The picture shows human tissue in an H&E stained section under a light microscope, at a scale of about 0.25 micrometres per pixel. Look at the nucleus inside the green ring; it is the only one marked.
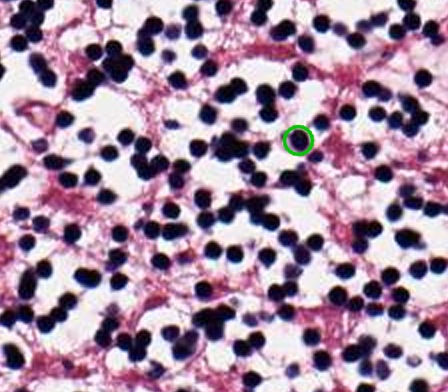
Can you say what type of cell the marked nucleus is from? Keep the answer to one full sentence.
The nucleus carrying the mark is the nucleus of a cerebellar granule cell.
